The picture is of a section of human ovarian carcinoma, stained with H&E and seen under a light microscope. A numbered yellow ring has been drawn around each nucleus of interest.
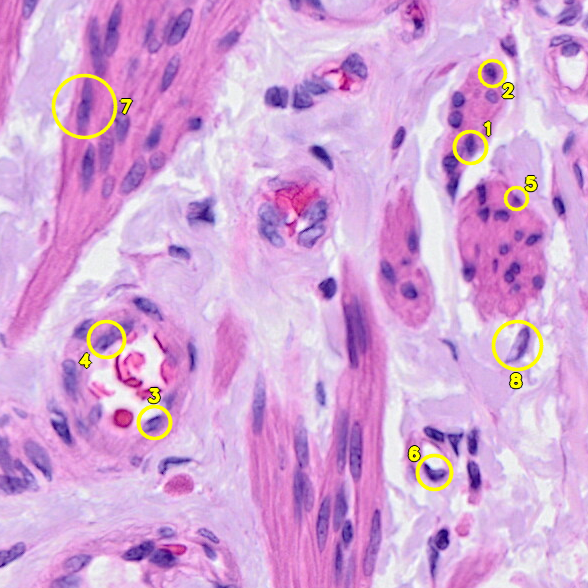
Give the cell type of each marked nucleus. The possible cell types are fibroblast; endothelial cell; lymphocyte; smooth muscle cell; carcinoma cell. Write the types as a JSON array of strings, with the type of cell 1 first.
["smooth muscle cell", "smooth muscle cell", "endothelial cell", "endothelial cell", "smooth muscle cell", "endothelial cell", "smooth muscle cell", "fibroblast"]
